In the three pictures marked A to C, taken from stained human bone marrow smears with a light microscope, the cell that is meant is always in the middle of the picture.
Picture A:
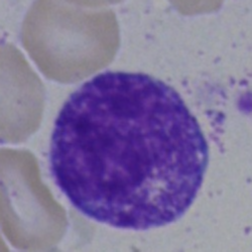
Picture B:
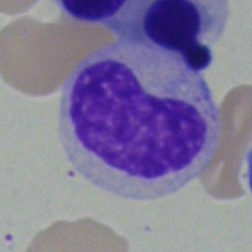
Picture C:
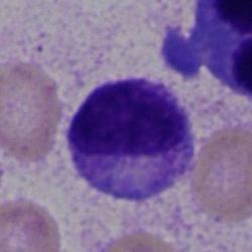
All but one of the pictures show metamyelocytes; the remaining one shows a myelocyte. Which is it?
C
